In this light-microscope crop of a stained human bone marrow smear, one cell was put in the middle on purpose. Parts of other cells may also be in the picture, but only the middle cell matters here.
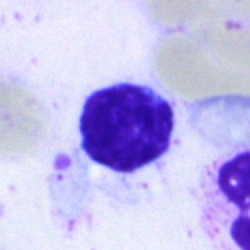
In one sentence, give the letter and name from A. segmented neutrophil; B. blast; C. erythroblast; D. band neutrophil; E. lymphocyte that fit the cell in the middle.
The cell centered in the crop is a lymphocyte, making option E the correct pick.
